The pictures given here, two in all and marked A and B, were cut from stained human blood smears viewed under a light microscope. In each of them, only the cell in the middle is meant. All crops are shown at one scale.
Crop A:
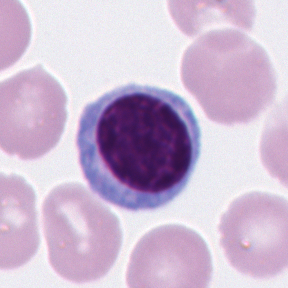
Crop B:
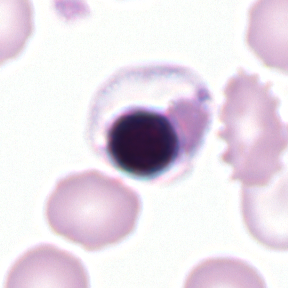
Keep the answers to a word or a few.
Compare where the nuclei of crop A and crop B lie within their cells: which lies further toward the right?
A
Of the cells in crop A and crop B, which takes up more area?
A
